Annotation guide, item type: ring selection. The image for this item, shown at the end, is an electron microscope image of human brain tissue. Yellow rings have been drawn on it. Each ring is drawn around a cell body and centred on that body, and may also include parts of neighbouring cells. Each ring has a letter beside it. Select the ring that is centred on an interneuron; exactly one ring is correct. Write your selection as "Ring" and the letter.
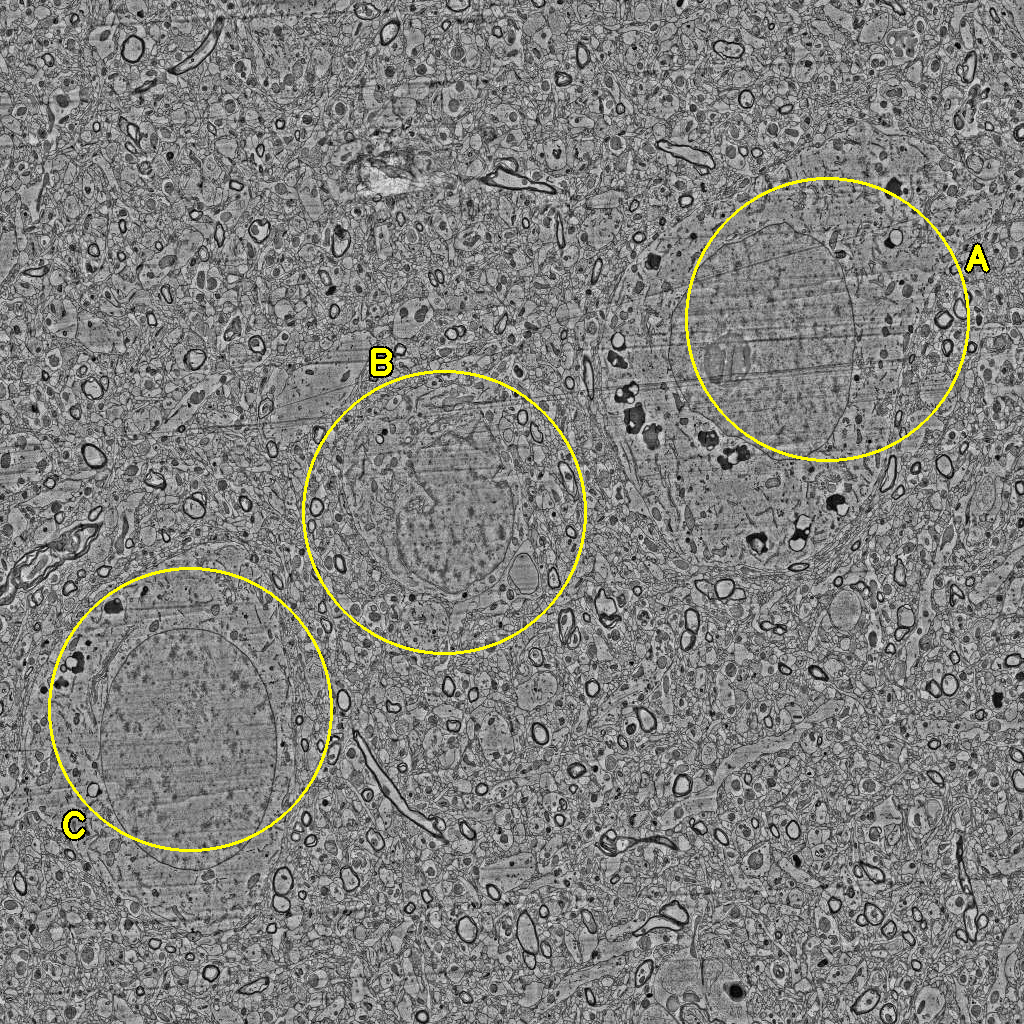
Ring B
